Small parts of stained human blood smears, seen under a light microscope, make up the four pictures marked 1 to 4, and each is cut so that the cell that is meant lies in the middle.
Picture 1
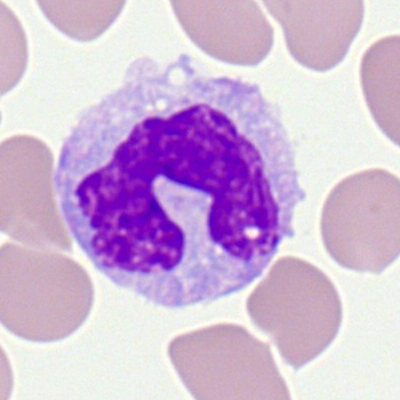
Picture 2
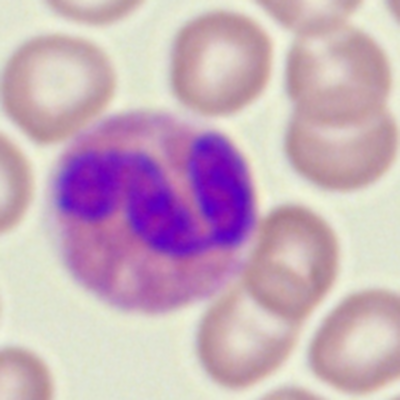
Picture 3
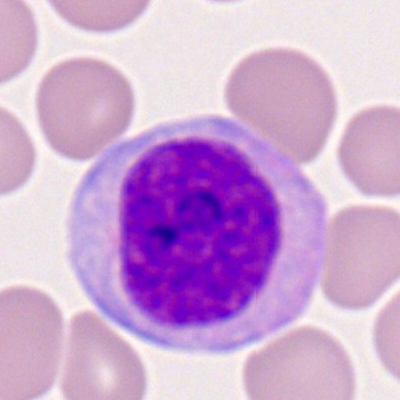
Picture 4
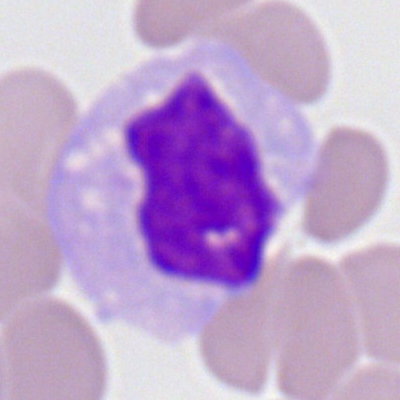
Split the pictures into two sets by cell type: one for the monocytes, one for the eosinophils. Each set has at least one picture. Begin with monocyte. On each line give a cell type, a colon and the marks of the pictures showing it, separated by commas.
monocyte: 1, 3, 4
eosinophil: 2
